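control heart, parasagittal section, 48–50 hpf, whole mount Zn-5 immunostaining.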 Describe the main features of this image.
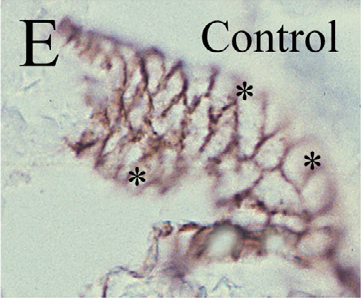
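The brown stain lies along cell borders, outlining a regular, fine meshwork of small polygonal and elongated compartments, so that the cells appear as a tightly packed sheet with their interiors largely pale. The meshwork fans out across the chamber wall in an orderly way. Some areas of the network appear blurred because they lie out of the plane of focus. A pale, unstained background of surrounding tissue lies beside the stained wall, and a small rounded structure is seen near the lower edge.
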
